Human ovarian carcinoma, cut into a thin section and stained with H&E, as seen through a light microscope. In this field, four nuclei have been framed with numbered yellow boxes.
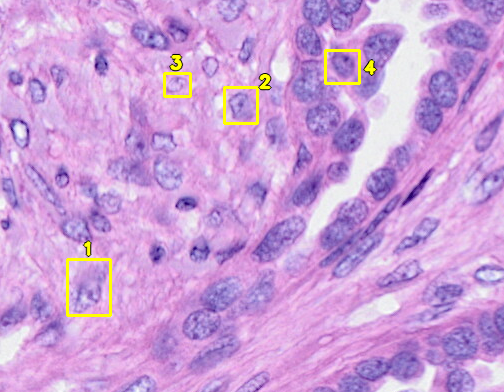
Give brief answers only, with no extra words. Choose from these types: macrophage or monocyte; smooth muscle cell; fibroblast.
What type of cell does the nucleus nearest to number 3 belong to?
fibroblast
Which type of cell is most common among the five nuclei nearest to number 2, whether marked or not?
fibroblast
